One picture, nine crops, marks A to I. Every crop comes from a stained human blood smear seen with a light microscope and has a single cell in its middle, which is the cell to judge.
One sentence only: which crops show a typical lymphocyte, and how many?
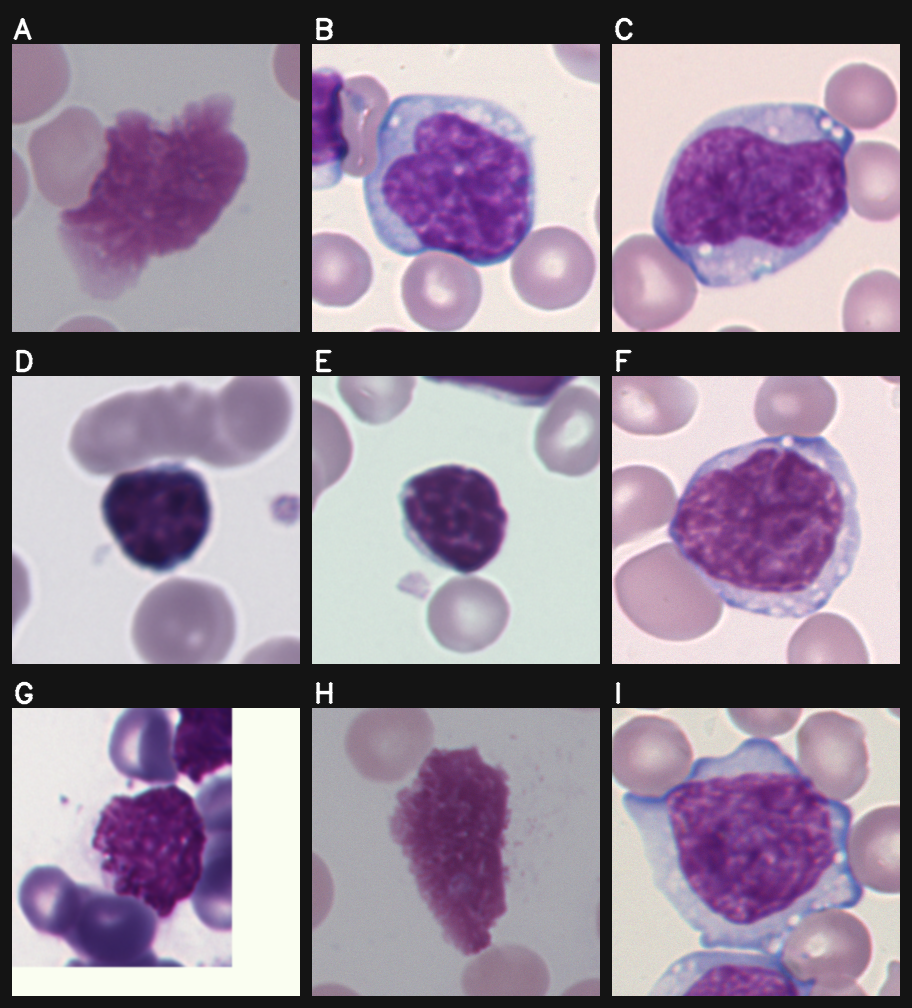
On review, two crops show typical lymphocytes, and they are D and E.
